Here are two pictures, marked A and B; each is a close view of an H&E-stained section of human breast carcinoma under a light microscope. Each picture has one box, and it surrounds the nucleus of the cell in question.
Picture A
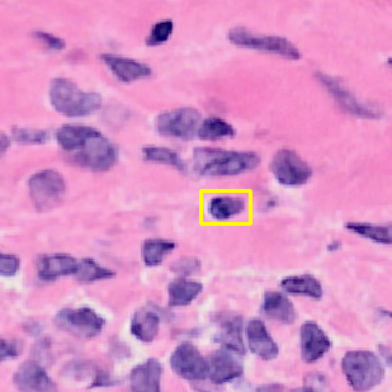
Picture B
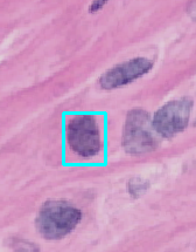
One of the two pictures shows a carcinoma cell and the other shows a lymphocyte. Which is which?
A: lymphocyte
B: carcinoma cell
